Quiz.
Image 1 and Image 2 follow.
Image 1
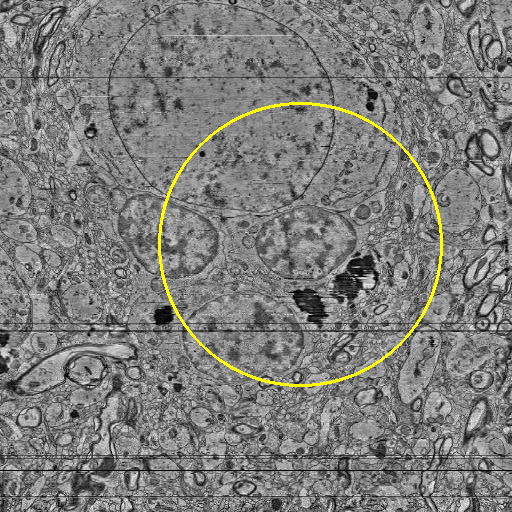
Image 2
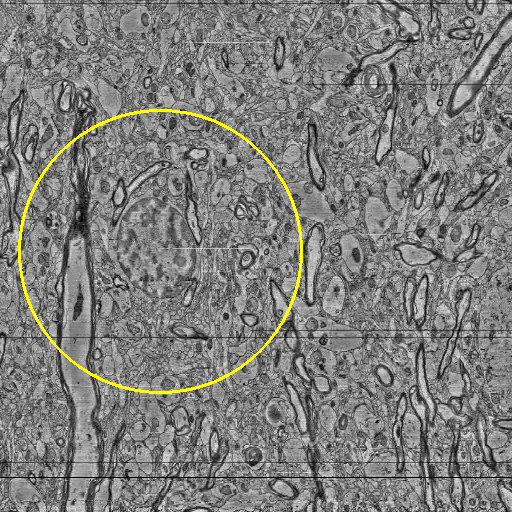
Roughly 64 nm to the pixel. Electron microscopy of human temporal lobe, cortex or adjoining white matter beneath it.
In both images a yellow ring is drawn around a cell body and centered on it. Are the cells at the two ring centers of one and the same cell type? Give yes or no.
yes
